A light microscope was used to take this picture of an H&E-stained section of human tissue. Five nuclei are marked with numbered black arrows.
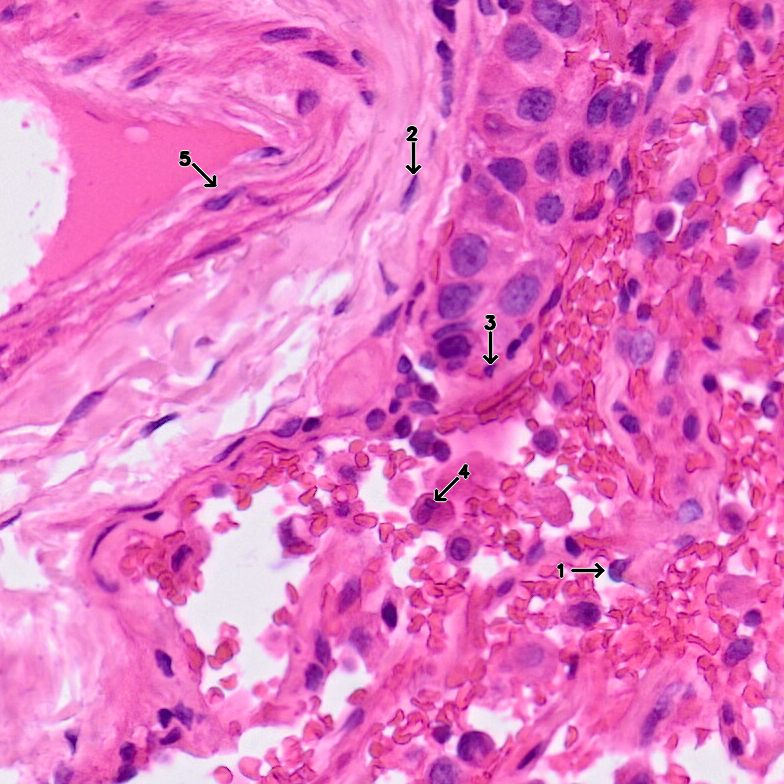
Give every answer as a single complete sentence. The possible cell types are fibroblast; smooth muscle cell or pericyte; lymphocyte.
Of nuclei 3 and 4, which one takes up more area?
Nucleus 4 is larger, with an area about 3 times that of nucleus 3.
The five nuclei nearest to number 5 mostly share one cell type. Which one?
Around number 5, most of the five nearest nuclei are those of smooth muscle cells or pericytes.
